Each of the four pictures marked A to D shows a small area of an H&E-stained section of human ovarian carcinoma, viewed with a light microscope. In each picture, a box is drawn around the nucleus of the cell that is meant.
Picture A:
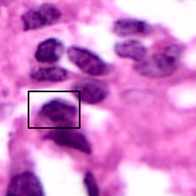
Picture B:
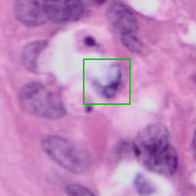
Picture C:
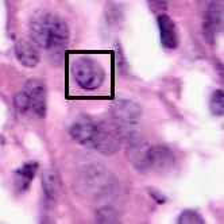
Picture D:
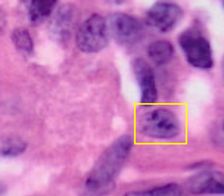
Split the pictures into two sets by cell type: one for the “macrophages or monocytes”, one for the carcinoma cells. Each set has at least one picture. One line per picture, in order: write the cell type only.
carcinoma cell
macrophage or monocyte
macrophage or monocyte
macrophage or monocyte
